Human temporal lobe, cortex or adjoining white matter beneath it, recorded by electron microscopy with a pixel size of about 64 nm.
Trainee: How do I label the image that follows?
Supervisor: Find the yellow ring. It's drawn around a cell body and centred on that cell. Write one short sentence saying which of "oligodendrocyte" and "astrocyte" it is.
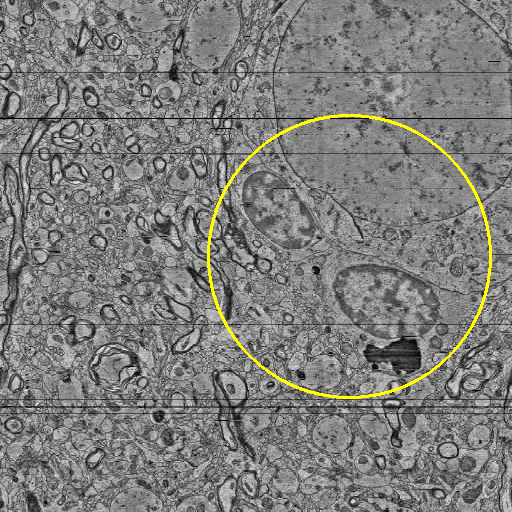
This is the cell body of an oligodendrocyte.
